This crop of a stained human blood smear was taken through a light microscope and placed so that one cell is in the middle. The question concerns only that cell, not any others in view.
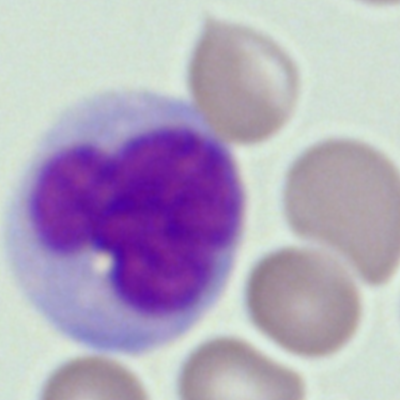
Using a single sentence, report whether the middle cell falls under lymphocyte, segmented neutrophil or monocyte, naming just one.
The target cell in the middle of the crop is a monocyte.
